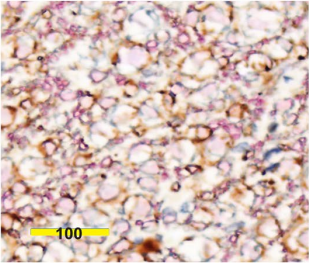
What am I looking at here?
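This cross-section shows tightly packed round profiles of varying size, giving the tissue a sieve-like, honeycomb appearance. Each profile has a pale or empty centre ringed by a thin stained rim. Some rims are brown and others are pink to purple. Small, dark blue nuclei lie scattered in the narrow spaces between the profiles.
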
